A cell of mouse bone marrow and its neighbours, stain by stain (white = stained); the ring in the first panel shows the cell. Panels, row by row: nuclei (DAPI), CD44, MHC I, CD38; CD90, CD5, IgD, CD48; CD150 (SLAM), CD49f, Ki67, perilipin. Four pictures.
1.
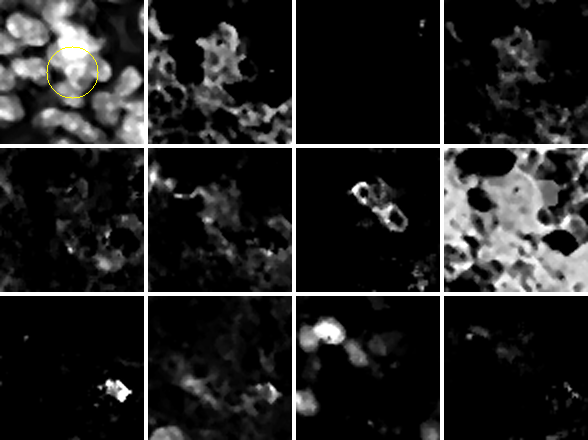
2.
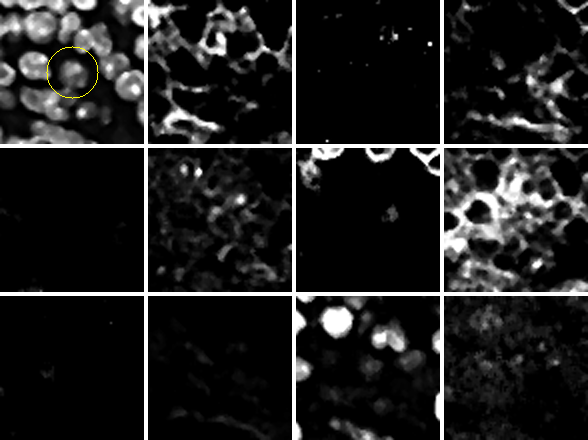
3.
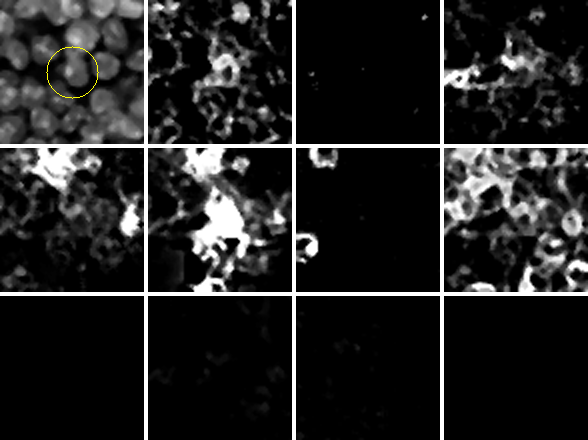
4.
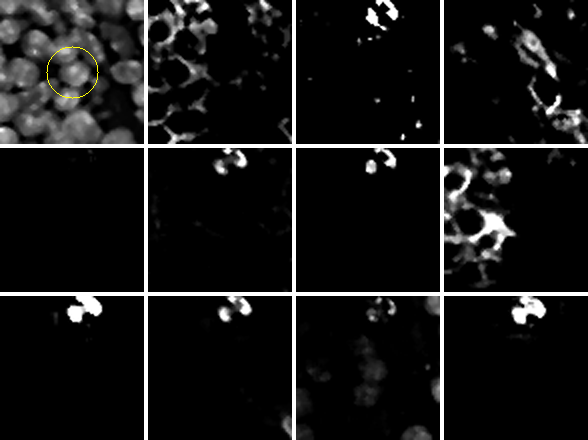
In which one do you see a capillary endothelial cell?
In picture 2.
